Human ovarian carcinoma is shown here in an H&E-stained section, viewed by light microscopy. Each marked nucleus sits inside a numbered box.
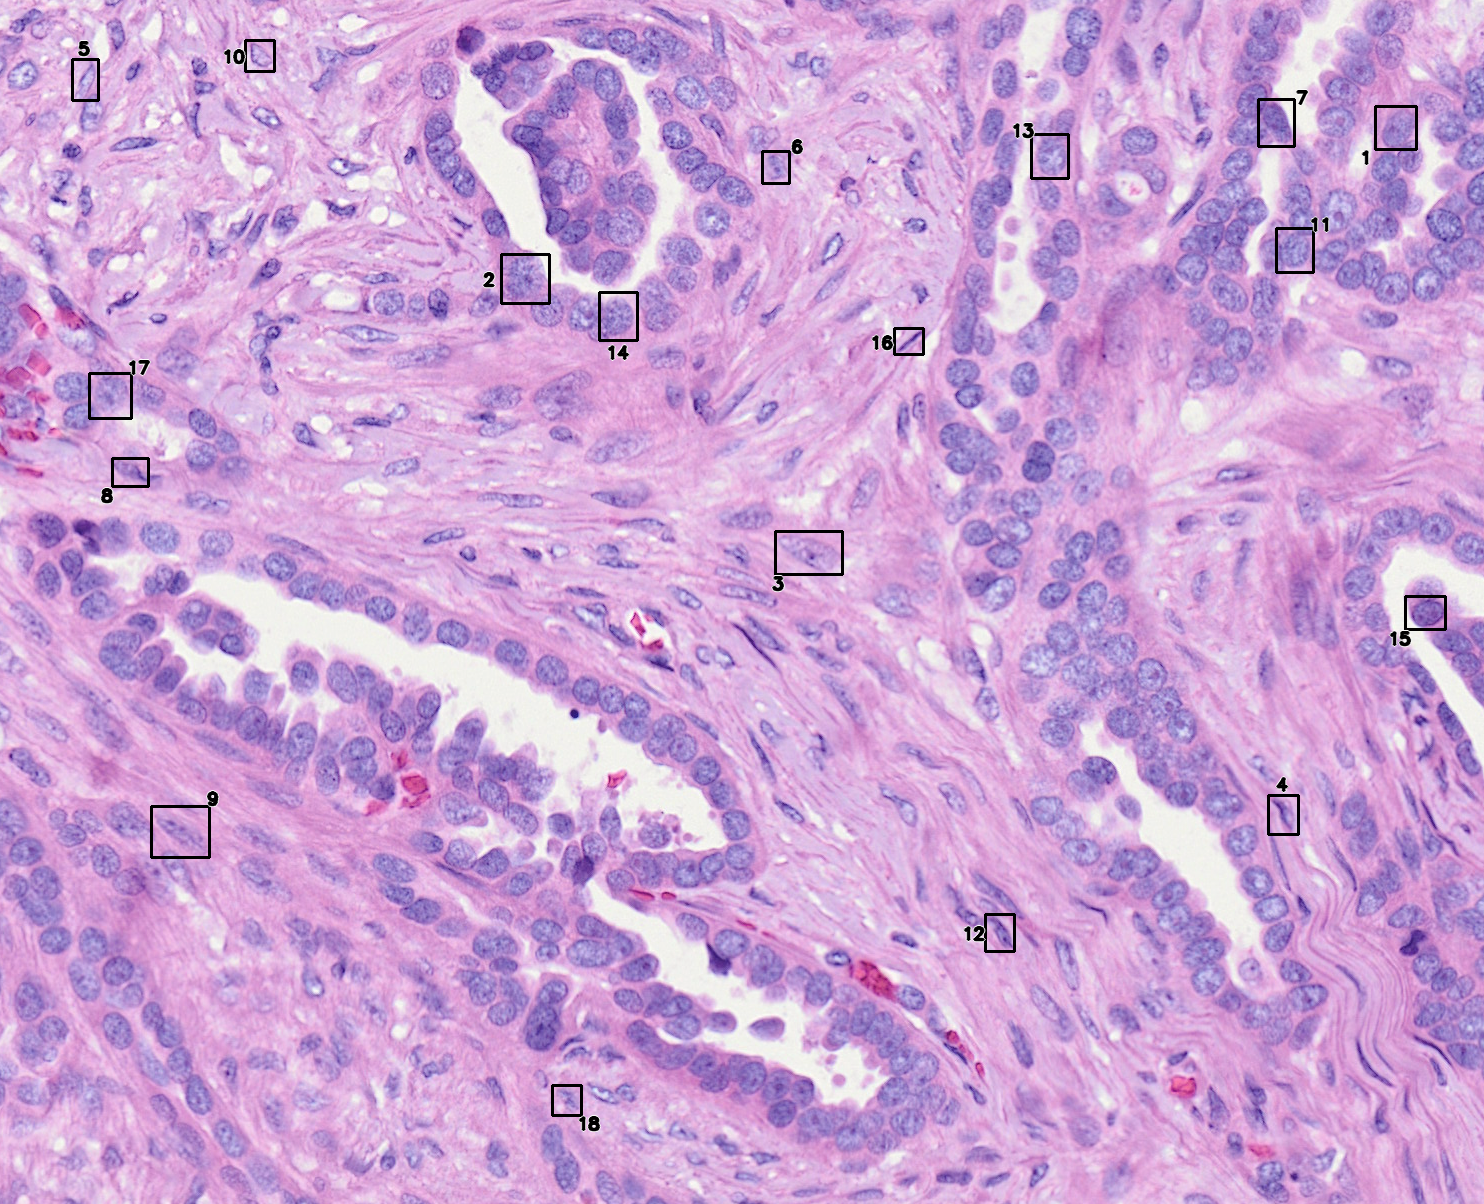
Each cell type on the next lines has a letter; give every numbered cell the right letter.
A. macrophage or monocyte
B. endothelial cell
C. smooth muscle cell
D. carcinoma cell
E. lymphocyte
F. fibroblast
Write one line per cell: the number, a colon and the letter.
1: D
2: D
3: F
4: F
5: F
6: F
7: D
8: F
9: F
10: F
11: D
12: F
13: D
14: D
15: D
16: F
17: D
18: F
